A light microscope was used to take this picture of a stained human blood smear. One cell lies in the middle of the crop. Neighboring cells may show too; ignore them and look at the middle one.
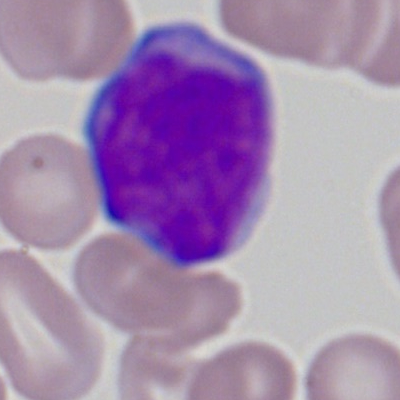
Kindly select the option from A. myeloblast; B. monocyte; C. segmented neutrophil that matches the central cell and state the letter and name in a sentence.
Well, the cell in the middle is a myeloblast, making option A right.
